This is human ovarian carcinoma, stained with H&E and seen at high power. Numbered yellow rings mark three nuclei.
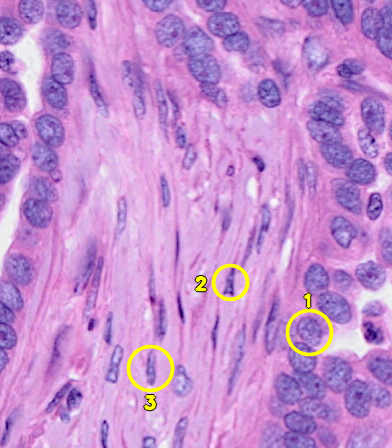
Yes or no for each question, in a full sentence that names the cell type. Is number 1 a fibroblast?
No, the cell bearing the number 1 is a carcinoma cell, not a fibroblast.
